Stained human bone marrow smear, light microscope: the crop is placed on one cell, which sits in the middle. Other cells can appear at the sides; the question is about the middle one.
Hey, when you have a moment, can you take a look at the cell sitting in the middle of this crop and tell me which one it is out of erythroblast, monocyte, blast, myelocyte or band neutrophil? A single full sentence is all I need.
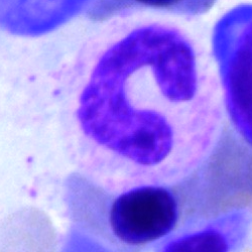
Here the cell in the middle is a band neutrophil.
